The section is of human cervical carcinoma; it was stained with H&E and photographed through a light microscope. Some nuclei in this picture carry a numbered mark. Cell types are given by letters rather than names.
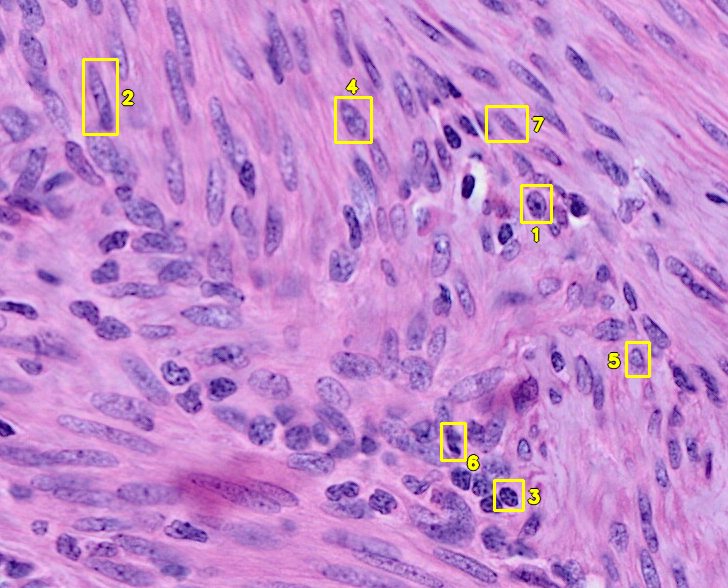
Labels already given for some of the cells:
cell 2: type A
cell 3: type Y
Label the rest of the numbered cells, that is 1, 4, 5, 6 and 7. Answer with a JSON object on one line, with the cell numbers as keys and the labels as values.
{"1": "type Y", "4": "type A", "5": "type A", "6": "type Y", "7": "type A"}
